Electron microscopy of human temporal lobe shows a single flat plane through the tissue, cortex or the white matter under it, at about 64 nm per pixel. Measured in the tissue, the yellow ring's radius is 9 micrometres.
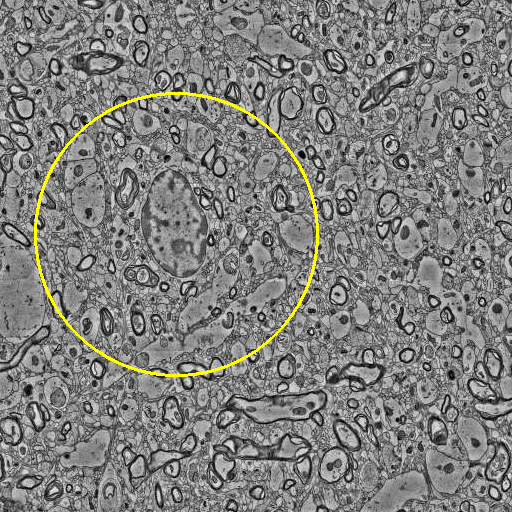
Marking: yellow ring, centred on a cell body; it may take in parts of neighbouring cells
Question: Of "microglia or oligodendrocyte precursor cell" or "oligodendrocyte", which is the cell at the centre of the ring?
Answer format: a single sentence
The ring surrounds the body of a microglial cell or oligodendrocyte precursor cell.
